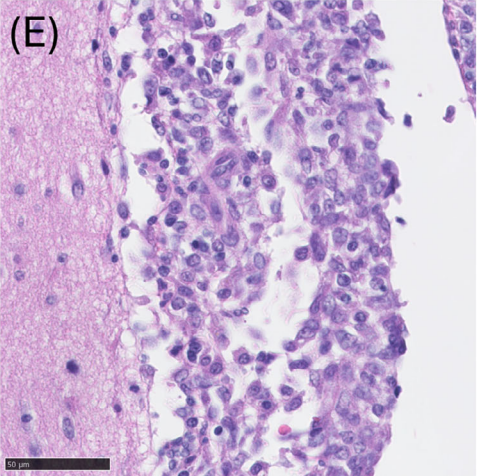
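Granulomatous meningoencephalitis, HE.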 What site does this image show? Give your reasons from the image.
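A band of inflammatory cells lies on the surface outside the pale neuropil at the left. So: meninges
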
